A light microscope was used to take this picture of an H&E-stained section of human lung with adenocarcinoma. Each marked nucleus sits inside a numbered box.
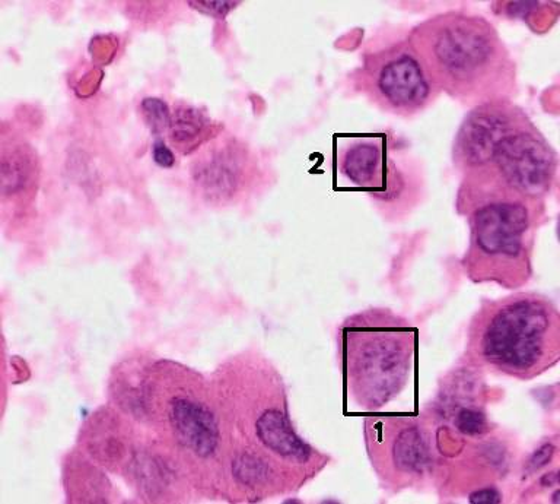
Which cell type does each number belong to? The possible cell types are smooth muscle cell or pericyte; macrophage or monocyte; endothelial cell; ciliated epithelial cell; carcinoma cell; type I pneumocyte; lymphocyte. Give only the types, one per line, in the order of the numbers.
carcinoma cell
macrophage or monocyte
